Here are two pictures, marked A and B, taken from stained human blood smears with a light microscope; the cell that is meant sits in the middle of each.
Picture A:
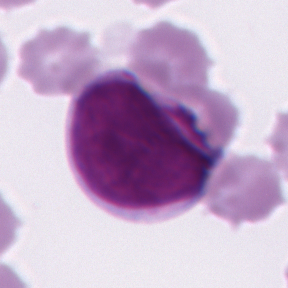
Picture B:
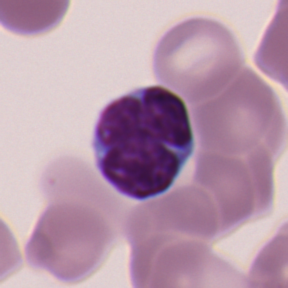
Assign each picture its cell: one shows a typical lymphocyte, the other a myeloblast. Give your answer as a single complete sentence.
Picture B shows a typical lymphocyte, while picture A shows a myeloblast.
